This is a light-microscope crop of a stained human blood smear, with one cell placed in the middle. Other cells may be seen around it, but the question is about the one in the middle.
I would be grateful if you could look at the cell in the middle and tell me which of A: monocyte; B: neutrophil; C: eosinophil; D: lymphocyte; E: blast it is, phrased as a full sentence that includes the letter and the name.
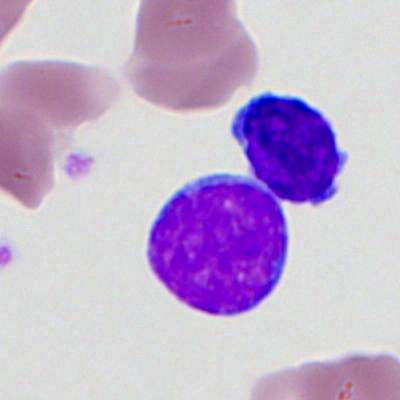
Option D is correct; the cell in the middle is a lymphocyte.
